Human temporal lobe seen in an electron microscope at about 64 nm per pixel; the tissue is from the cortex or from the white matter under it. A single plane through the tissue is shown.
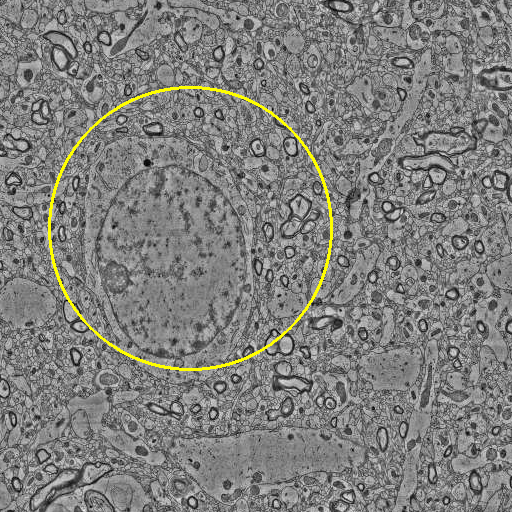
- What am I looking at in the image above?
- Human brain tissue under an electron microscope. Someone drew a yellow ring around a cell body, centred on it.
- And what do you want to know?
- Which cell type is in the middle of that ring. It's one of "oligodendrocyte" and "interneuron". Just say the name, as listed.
interneuron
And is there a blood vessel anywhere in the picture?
No, no vessel shows anywhere in the image.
